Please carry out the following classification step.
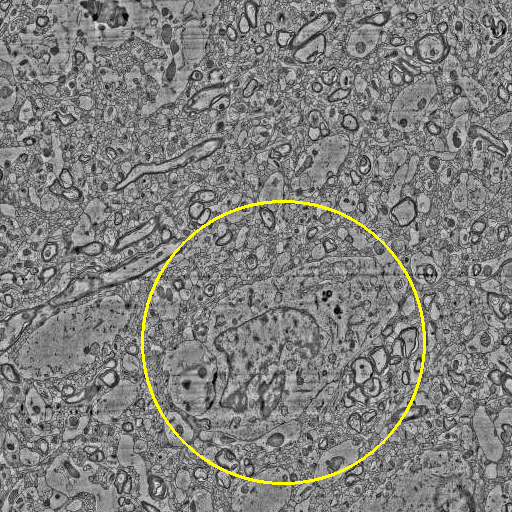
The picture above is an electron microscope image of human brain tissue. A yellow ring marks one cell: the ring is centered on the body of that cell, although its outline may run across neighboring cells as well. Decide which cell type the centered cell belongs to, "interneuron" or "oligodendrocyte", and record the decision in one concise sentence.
The cell centered in the yellow ring is an interneuron.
